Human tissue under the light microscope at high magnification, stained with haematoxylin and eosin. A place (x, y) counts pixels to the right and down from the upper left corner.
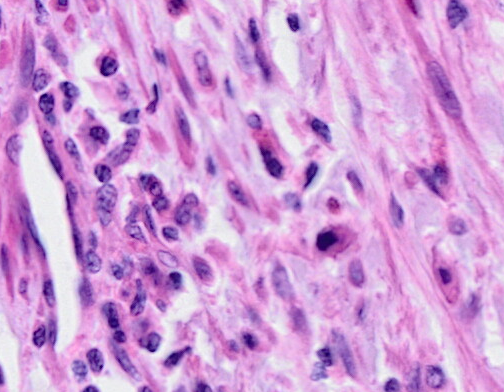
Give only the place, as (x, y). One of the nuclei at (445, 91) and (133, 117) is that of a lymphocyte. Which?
(133, 117)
